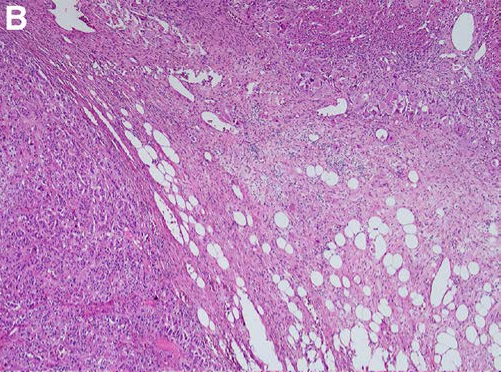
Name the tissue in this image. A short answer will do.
Adipose tissue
